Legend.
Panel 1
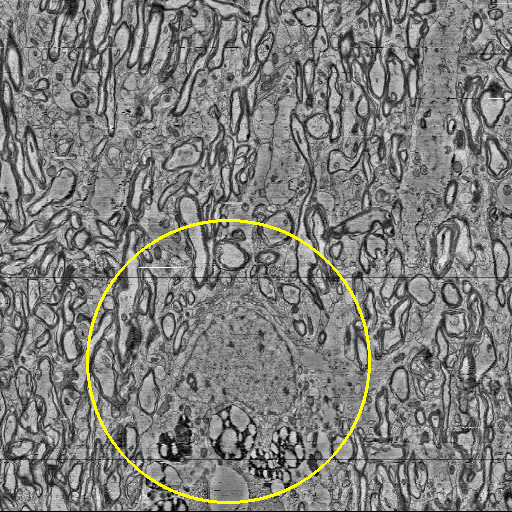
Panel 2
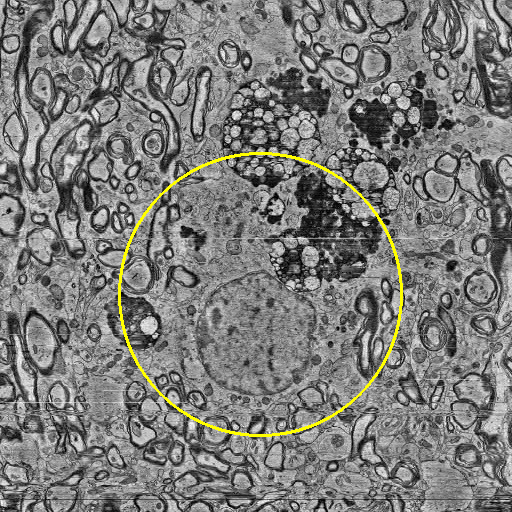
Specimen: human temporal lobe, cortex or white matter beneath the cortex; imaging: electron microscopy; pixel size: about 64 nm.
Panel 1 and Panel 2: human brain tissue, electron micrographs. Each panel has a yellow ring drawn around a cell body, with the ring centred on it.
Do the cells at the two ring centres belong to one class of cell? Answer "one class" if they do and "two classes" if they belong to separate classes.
one class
